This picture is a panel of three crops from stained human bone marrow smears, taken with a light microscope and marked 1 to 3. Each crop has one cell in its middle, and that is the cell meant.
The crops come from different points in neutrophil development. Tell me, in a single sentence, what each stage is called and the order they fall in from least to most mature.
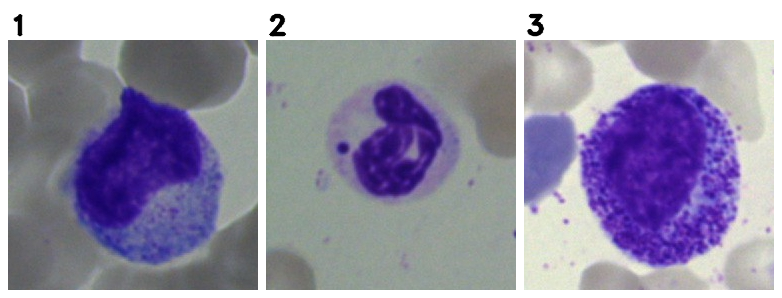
Ordered least to most mature, the series reads crop 3 (a promyelocyte), crop 1 (a myelocyte) and crop 2 (a segmented neutrophil).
